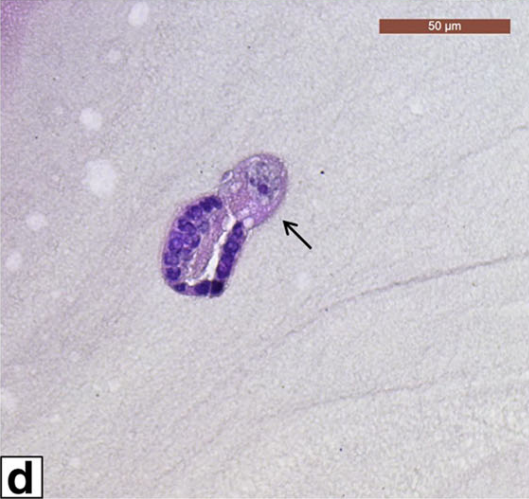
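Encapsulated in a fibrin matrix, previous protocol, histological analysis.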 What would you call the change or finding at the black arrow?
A: An extruded oocyte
